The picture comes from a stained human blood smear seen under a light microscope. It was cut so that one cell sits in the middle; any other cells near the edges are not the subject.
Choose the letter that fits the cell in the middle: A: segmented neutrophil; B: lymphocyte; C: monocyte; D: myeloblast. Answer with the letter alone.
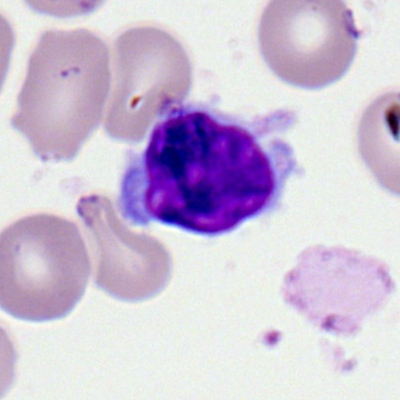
B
